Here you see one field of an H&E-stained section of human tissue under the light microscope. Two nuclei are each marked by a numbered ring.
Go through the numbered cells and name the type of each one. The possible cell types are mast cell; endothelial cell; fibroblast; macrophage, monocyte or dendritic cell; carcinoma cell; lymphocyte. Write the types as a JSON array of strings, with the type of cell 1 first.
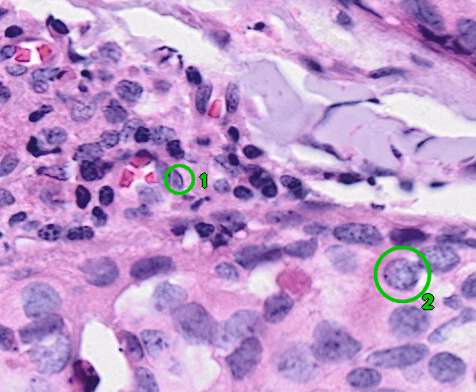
["endothelial cell", "carcinoma cell"]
